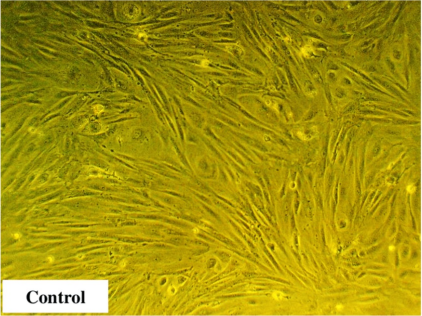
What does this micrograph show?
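Most cells are long and spindle-shaped, resembling fibroblasts, with thin cytoplasm tapering into slender ends. They lie side by side in roughly parallel bundles that form swirling streams across the field. A few cells are broader and flatter, with more spread cytoplasm, and scattered small bright rounded bodies lie on top of the layer. There is no sign of lipid droplets, mineral deposits or matrix, and the cells show no special arrangement beyond their aligned, fibroblast-like growth.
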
